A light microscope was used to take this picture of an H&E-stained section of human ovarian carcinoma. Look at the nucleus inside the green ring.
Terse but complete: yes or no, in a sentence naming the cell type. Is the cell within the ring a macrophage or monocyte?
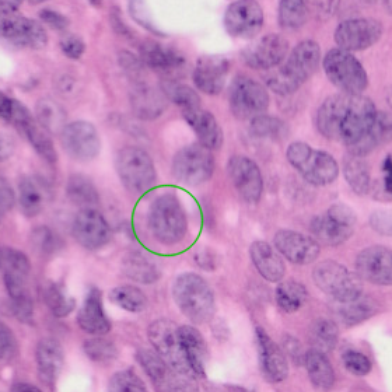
No, sorry, but the cell within the ring is a carcinoma cell and not a macrophage or monocyte.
